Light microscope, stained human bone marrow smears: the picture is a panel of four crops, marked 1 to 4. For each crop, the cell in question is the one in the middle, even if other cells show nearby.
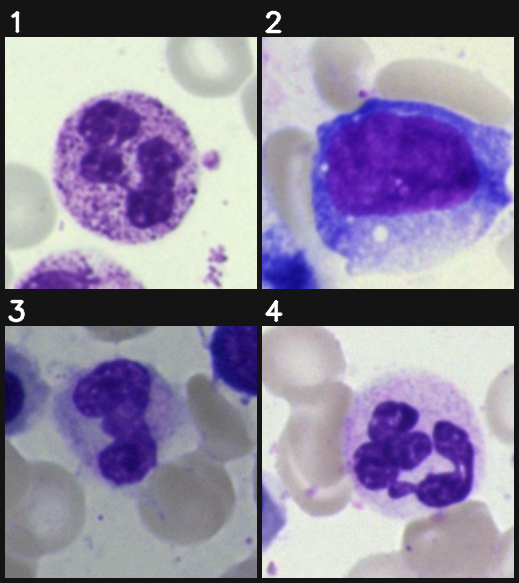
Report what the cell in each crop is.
1: neutrophil
2: blast
3: neutrophil
4: neutrophil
